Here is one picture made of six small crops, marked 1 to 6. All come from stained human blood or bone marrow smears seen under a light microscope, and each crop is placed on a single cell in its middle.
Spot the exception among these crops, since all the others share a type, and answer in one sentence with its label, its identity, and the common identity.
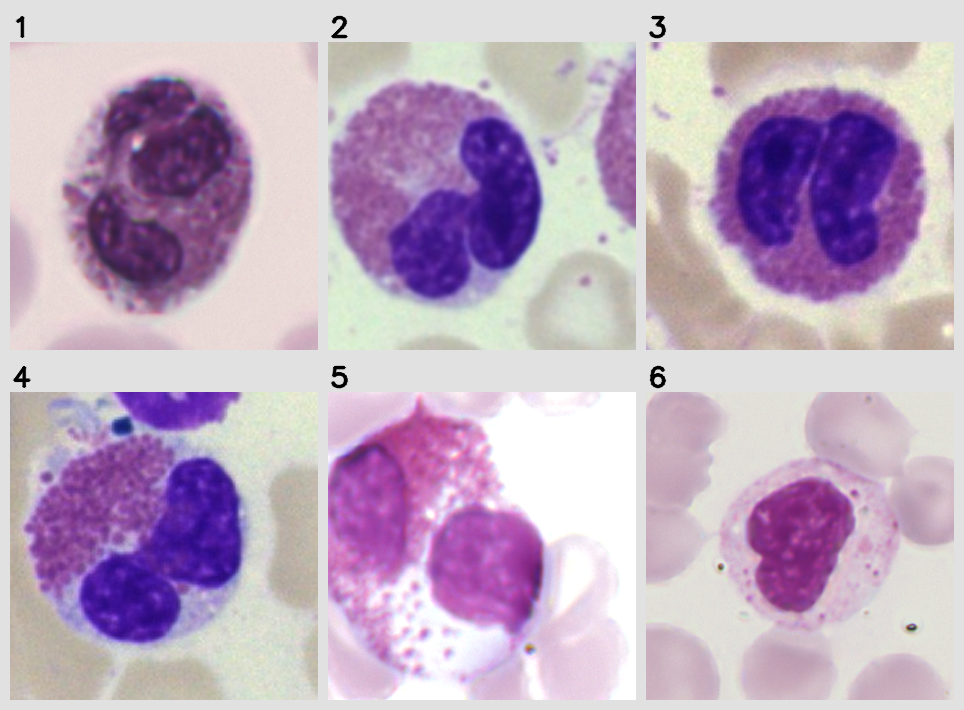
The exception is crop 6: it is a band neutrophil, and the others are all eosinophils.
